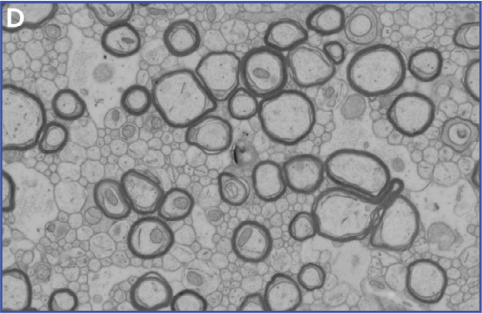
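Larger axons are wrapped by dark, electron-dense rings of compact myelin, marking them as myelinated axons; the rings differ in thickness between fibres, and some profiles are irregular or flattened where neighbours press against them. The axoplasm inside is pale and fine-grained, with occasional organelles. Around and between the myelinated fibres lie many small, pale, rounded profiles without myelin, packed closely together, likely unmyelinated axons, giving a mosaic of large dark-rimmed and small pale circles.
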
